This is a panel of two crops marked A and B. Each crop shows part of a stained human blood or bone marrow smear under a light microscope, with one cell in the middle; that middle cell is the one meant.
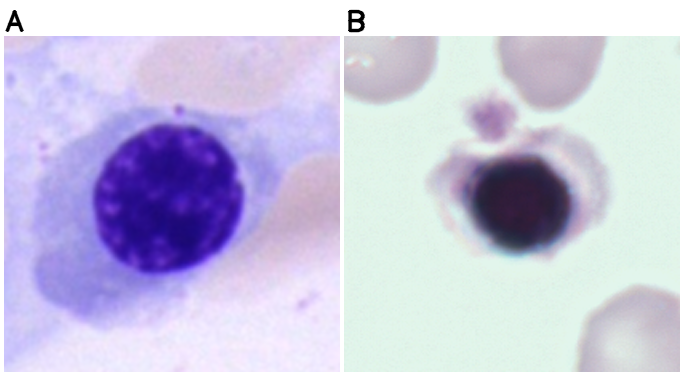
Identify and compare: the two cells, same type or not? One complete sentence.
Yes, both crops are centred on erythroblasts.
